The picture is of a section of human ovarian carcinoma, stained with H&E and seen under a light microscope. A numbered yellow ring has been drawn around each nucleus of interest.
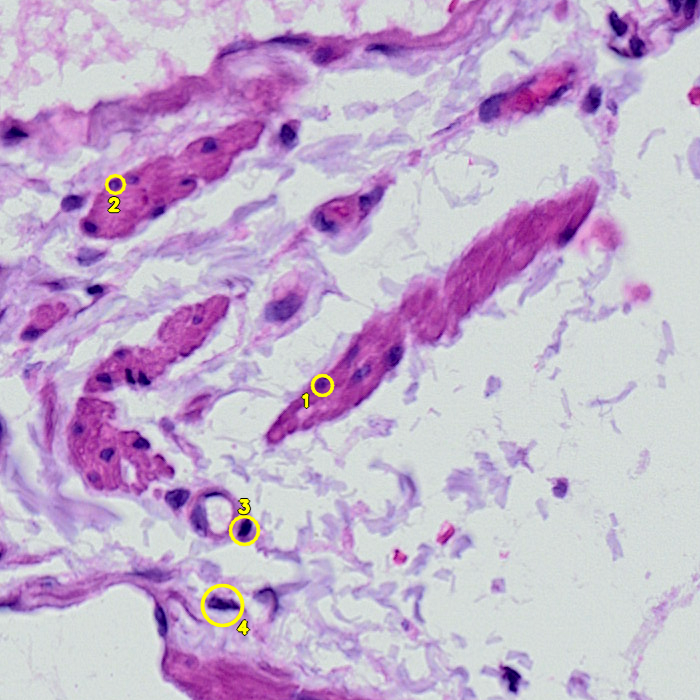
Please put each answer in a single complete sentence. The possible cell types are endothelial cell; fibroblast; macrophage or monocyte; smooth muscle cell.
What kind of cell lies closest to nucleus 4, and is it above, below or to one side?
A fibroblast lies closest, to the right of nucleus 4.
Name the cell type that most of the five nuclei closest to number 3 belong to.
Around number 3, most of the five nearest nuclei are those of fibroblasts.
